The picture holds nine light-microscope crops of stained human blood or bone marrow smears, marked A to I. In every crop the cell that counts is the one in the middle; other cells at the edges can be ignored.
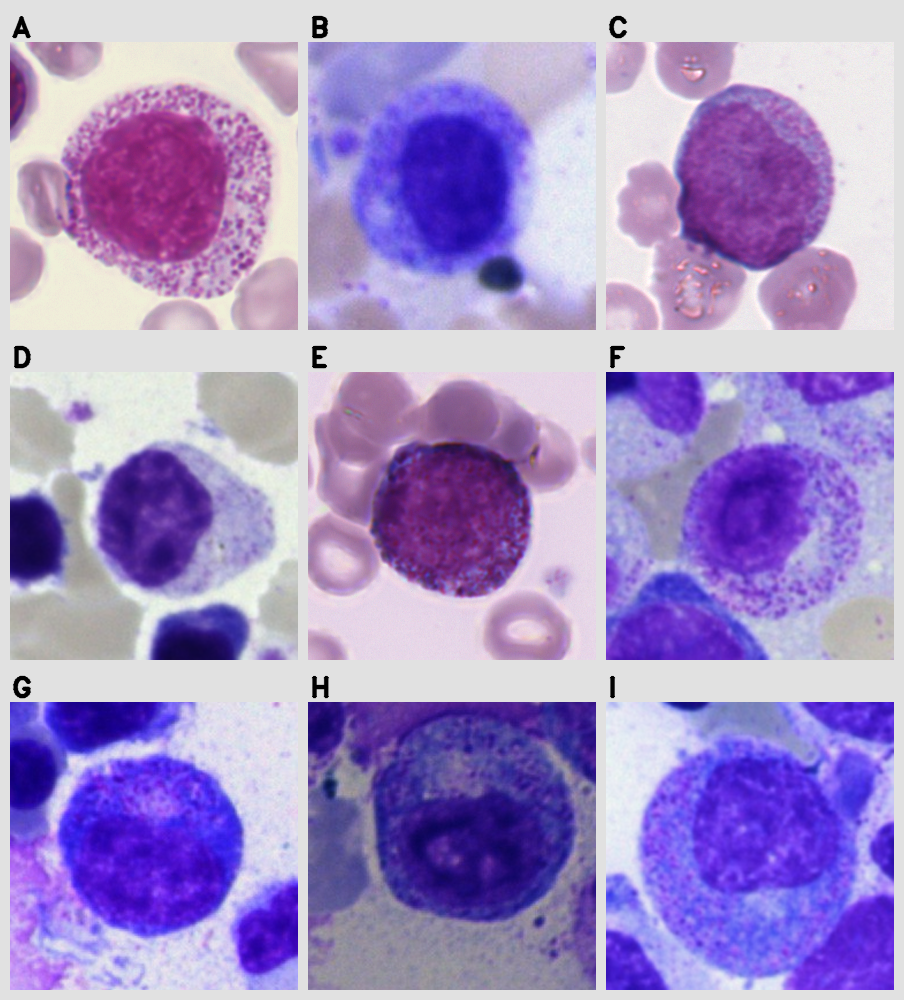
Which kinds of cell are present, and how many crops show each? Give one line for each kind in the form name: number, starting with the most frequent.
promyelocyte: 5
myelocyte: 4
